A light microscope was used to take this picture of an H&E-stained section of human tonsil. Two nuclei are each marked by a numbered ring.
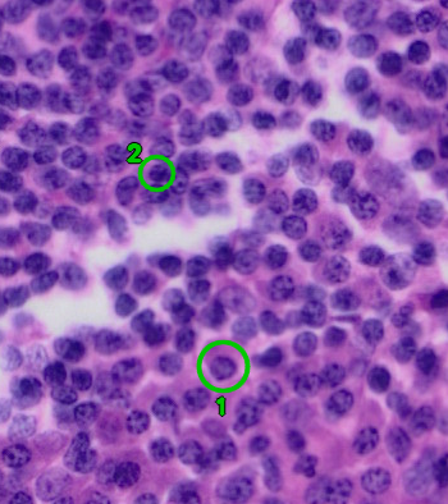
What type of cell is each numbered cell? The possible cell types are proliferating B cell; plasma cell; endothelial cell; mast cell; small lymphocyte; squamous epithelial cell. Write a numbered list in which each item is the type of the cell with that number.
1. plasma cell
2. small lymphocyte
